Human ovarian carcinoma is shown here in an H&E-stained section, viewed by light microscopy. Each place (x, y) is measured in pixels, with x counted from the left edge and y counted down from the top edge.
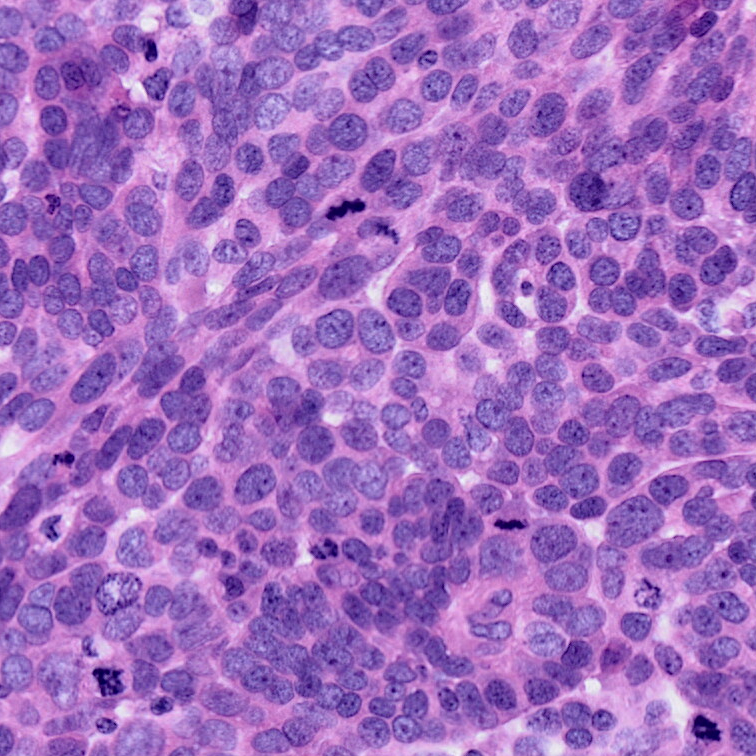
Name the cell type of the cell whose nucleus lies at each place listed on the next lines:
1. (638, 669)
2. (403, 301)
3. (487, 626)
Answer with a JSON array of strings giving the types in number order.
["carcinoma cell", "carcinoma cell", "fibroblast"]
